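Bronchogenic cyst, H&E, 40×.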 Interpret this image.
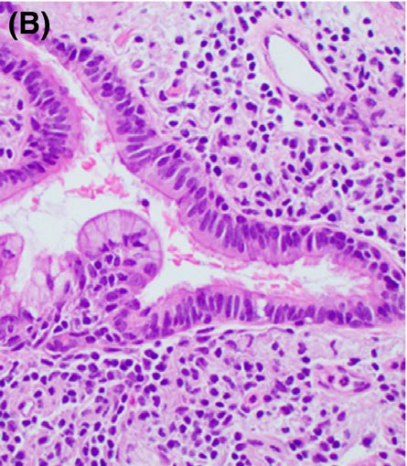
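Ciliated respiratory epithelium of tall columnar cells with elongated, closely packed nuclei lines branching spaces, and a small group of cells with pale, mucin-filled apical cytoplasm sits among them. The underlying stroma is loose and holds many small round inflammatory cells and small vessels.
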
